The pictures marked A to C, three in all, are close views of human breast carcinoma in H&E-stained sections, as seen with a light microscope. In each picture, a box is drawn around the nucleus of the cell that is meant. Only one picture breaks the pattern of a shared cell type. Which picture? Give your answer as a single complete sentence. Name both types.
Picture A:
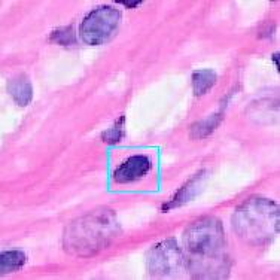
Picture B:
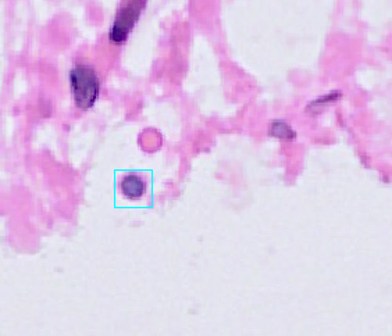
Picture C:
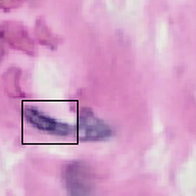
The others show lymphocytes, but picture C shows an endothelial cell.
